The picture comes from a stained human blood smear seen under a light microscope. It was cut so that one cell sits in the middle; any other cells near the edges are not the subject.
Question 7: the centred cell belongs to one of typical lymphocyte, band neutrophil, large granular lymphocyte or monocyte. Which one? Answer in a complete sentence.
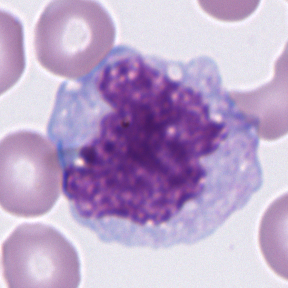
The cell occupying the middle of the crop is a monocyte.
